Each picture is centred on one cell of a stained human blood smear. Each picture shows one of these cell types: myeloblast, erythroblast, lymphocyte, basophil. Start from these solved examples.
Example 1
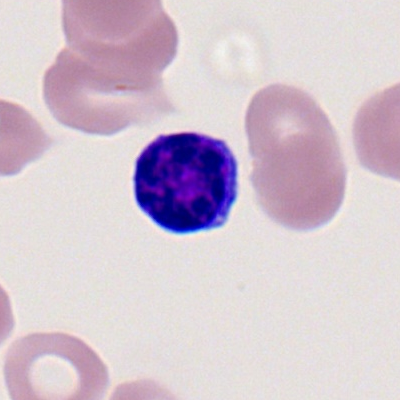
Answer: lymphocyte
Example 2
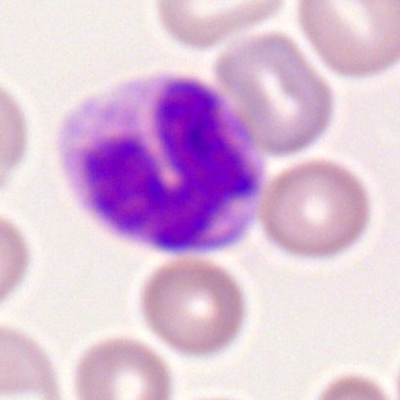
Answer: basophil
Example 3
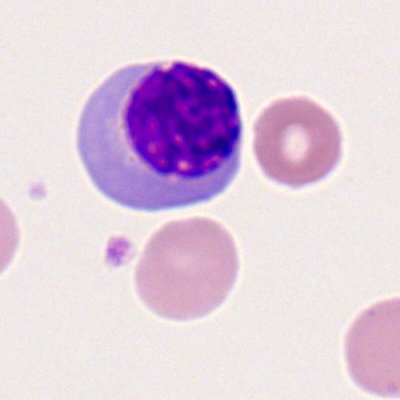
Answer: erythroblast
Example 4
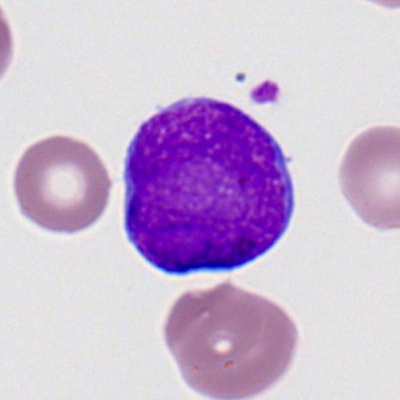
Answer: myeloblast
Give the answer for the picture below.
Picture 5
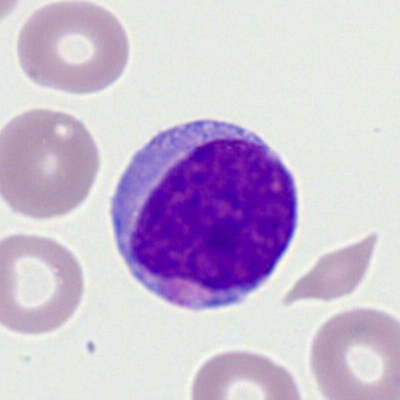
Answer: myeloblast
